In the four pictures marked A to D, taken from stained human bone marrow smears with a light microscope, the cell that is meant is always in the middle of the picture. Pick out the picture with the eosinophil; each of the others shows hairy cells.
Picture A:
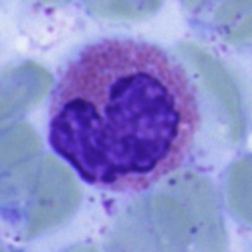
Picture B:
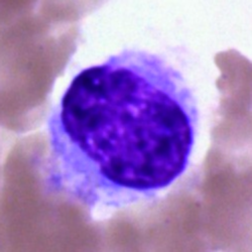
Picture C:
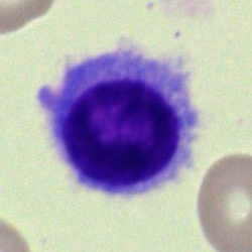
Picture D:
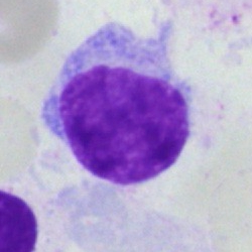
A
